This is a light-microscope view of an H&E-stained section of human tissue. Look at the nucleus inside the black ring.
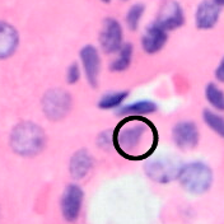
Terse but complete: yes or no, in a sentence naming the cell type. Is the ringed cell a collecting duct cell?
Yes, the ringed cell qualifies as a collecting duct cell in this section.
